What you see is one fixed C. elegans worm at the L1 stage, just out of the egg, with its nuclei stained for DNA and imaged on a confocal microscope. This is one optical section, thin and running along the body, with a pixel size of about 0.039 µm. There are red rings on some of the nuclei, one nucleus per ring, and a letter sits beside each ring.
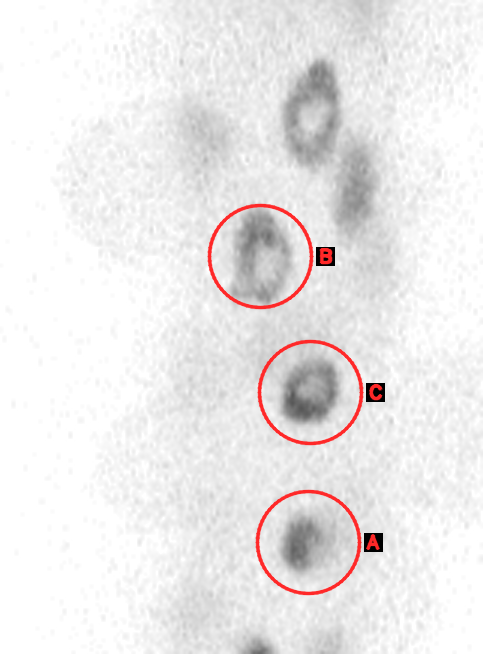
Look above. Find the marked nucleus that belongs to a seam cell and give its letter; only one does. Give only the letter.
A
